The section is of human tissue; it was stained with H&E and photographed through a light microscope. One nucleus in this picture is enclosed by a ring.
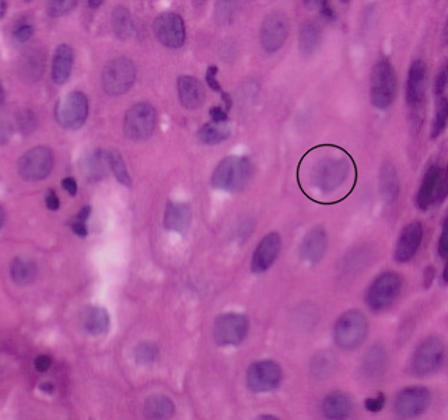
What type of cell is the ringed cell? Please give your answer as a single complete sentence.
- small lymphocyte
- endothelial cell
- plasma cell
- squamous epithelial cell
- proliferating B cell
On this particular slide, the ringed cell is a squamous epithelial cell.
